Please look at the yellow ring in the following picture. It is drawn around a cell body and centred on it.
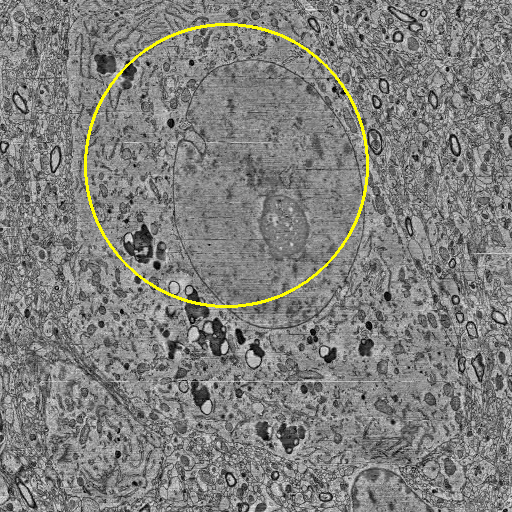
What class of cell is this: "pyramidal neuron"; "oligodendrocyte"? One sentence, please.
The ring surrounds the cell body of a pyramidal neuron.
